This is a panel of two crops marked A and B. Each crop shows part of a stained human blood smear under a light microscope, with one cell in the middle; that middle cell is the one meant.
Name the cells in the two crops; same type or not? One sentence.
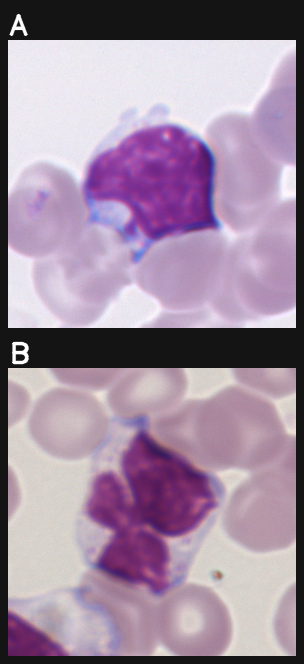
Yes, in the two crops, large granular lymphocytes are the cells at the centre.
